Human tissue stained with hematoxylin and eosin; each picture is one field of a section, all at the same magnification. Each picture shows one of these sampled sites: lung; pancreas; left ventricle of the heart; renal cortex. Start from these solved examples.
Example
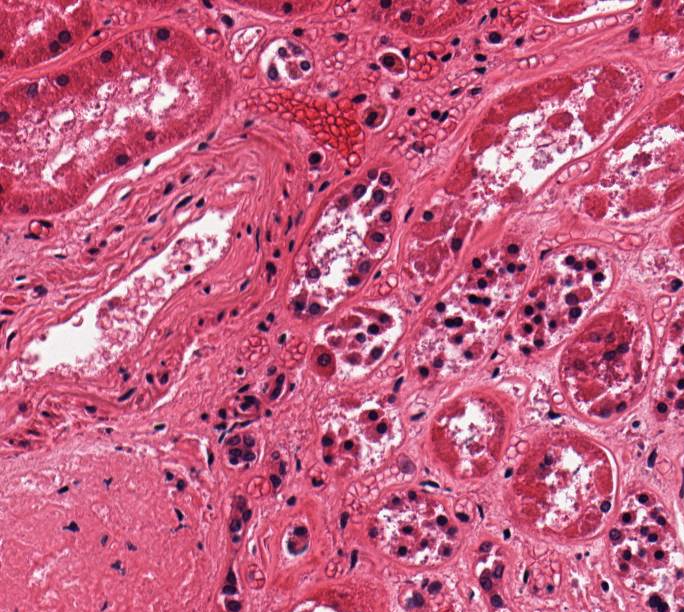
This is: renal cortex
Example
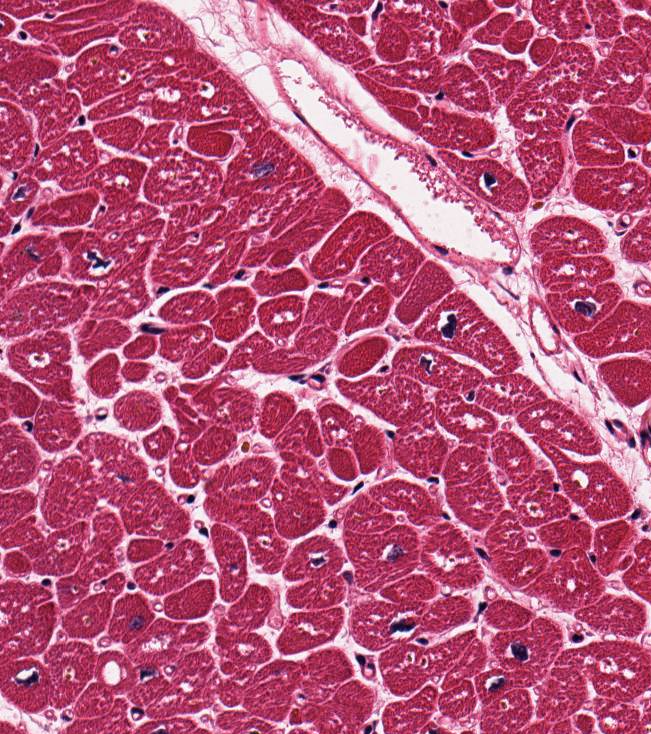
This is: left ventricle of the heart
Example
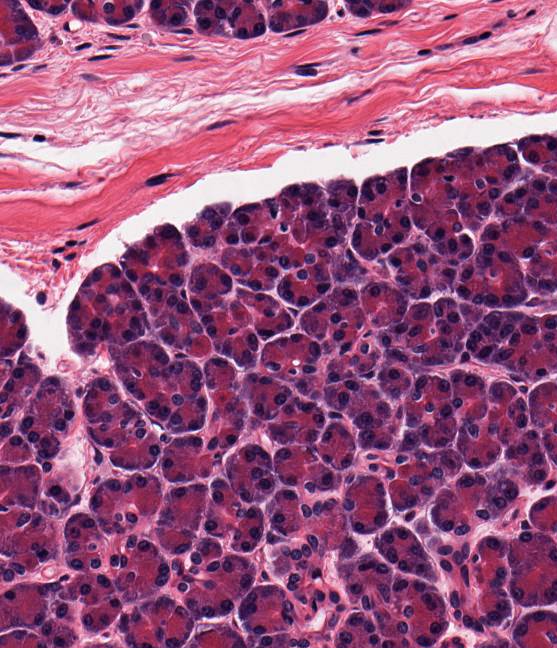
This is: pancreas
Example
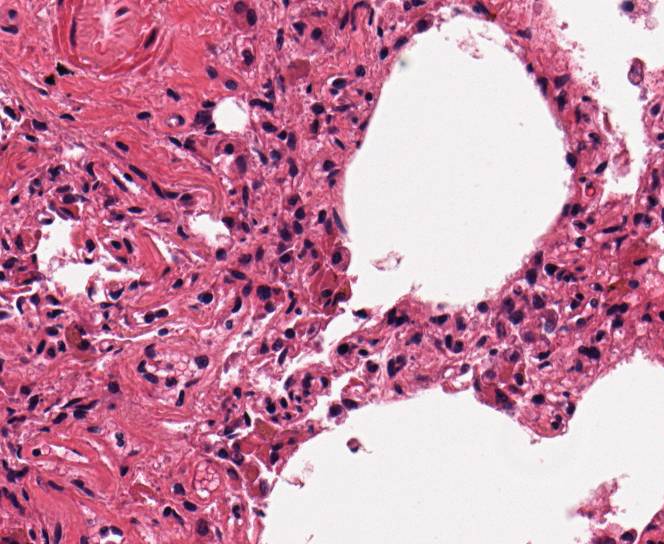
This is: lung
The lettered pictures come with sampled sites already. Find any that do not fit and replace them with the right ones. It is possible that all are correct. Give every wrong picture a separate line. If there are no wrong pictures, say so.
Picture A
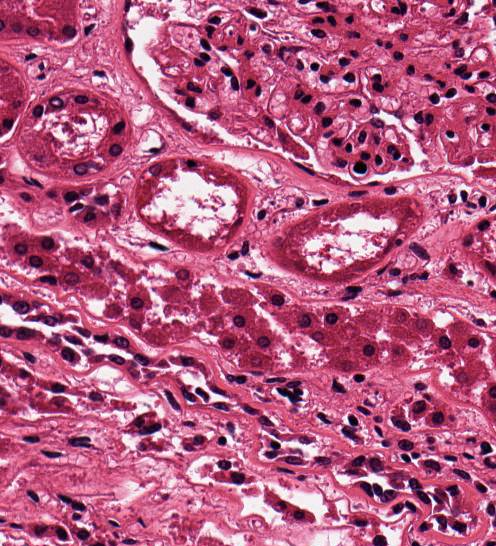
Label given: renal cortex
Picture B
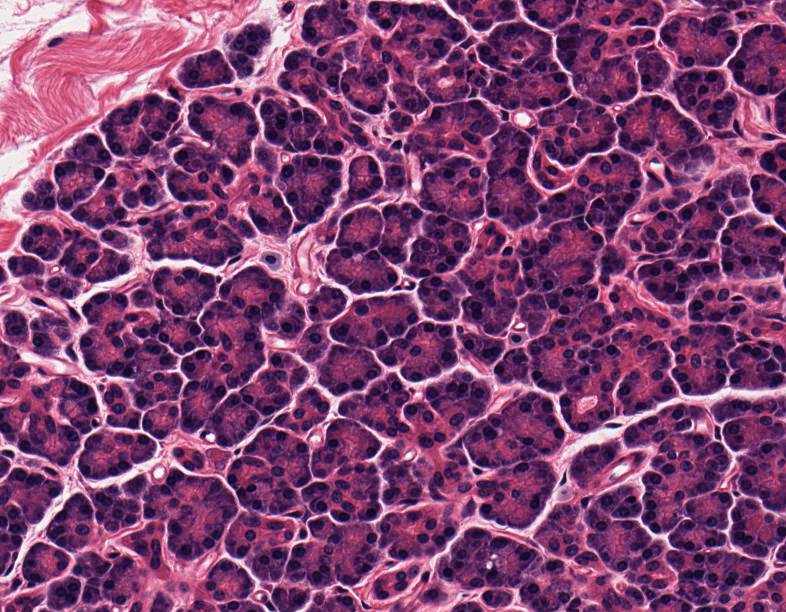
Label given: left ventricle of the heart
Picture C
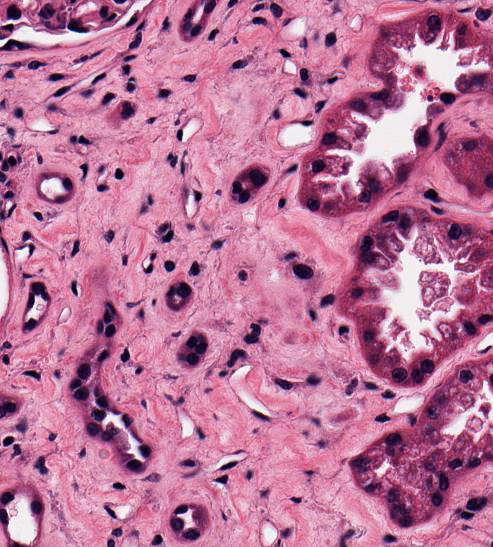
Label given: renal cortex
B: not left ventricle of the heart but pancreas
